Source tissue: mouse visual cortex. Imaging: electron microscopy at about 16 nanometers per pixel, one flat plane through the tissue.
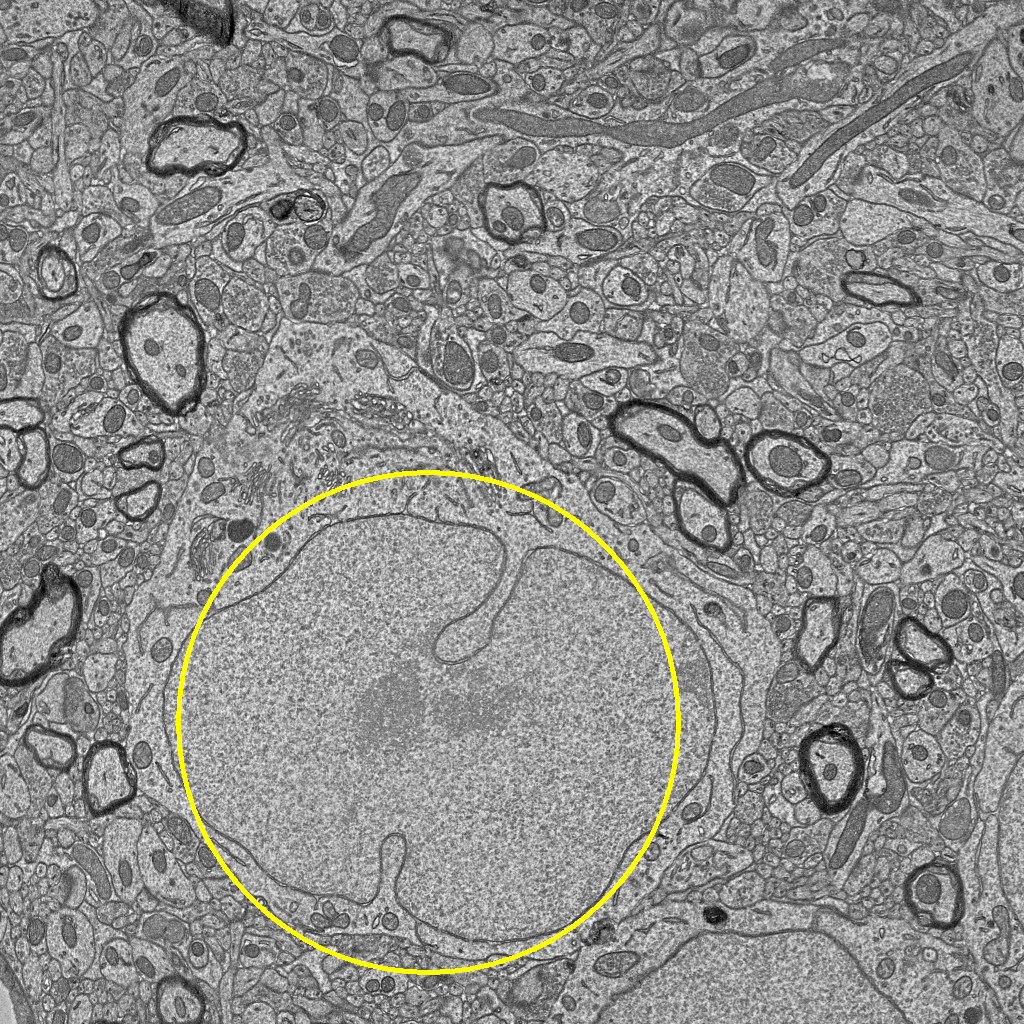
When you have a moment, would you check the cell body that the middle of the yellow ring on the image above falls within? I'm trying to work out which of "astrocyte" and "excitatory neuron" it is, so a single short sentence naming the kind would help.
This cell body belongs to an excitatory neuron.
